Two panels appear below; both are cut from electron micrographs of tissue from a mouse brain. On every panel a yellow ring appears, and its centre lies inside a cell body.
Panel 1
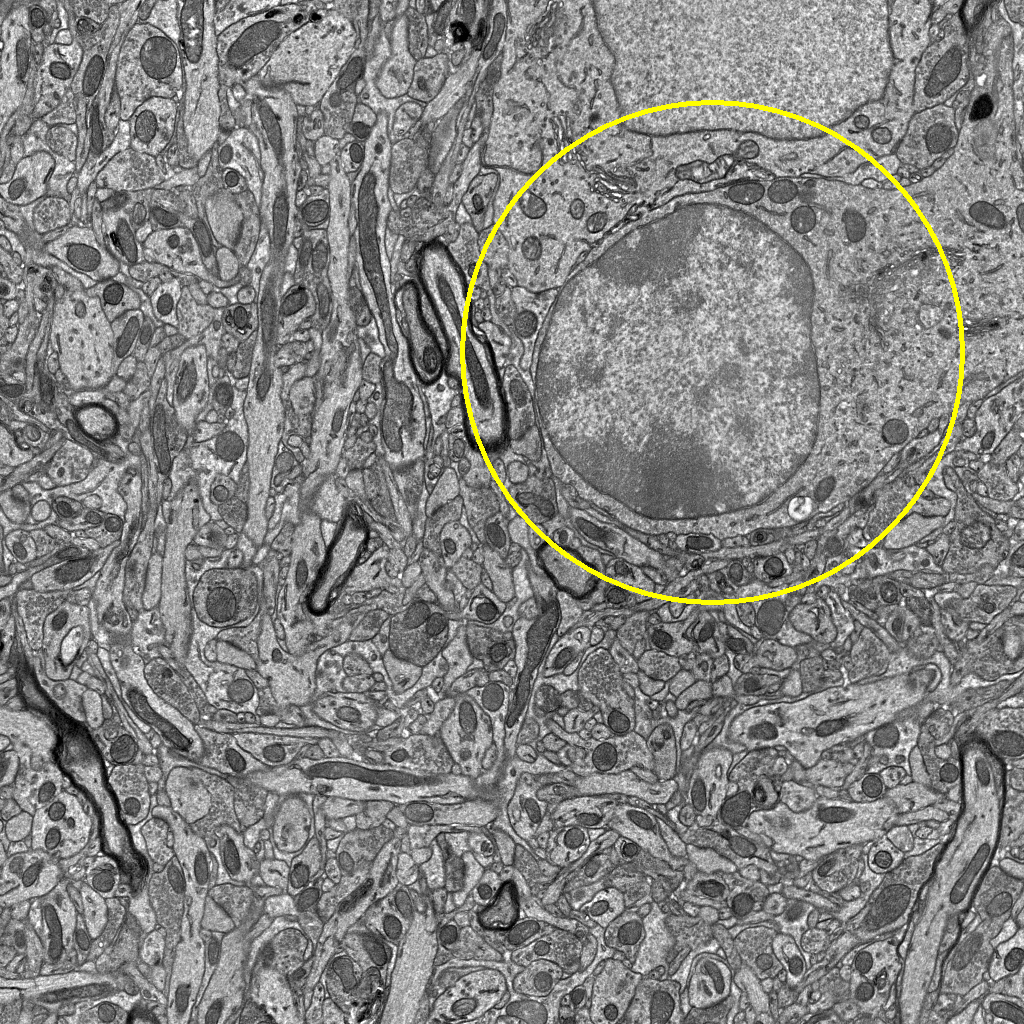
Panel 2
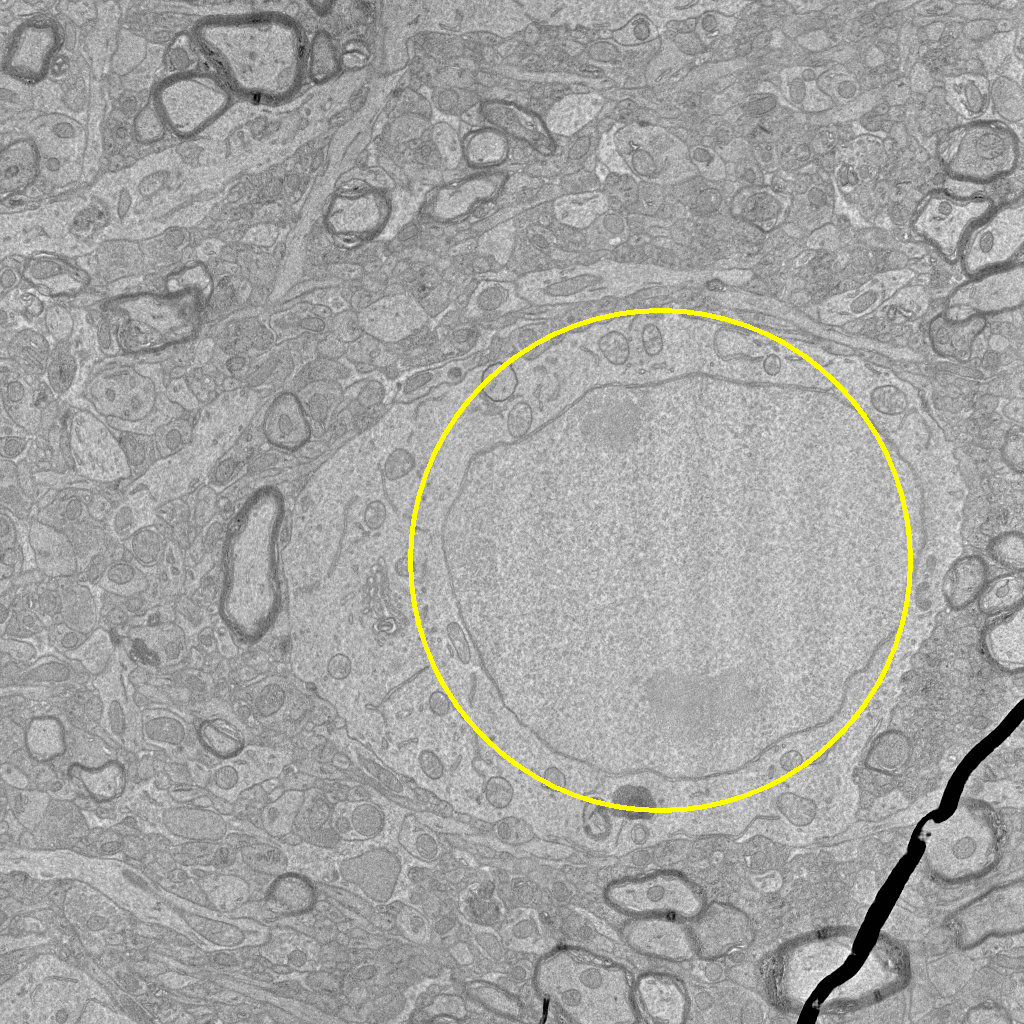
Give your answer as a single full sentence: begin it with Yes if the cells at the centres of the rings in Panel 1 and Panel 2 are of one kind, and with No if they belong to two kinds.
No, the cells at the middle of the rings in Panels 1 and 2 are of two kinds.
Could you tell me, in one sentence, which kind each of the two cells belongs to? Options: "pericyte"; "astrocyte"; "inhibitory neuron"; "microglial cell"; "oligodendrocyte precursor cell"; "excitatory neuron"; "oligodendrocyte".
The second picture holds an excitatory neuron in its ring, and the first holds an oligodendrocyte.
